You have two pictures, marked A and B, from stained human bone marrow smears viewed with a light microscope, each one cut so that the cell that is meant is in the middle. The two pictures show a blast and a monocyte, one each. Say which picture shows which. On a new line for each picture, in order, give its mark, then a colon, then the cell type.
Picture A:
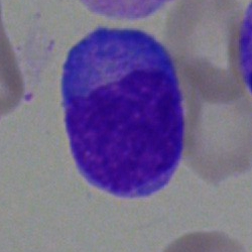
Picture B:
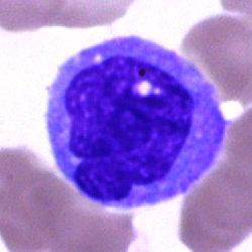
A: blast
B: monocyte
